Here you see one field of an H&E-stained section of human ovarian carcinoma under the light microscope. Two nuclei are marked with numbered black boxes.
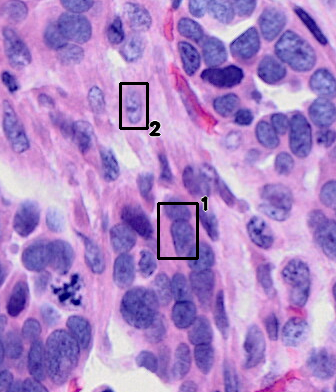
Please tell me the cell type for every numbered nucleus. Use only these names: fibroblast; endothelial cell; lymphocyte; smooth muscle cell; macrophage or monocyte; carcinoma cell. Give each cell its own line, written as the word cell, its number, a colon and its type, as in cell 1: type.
cell 1: carcinoma cell
cell 2: fibroblast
